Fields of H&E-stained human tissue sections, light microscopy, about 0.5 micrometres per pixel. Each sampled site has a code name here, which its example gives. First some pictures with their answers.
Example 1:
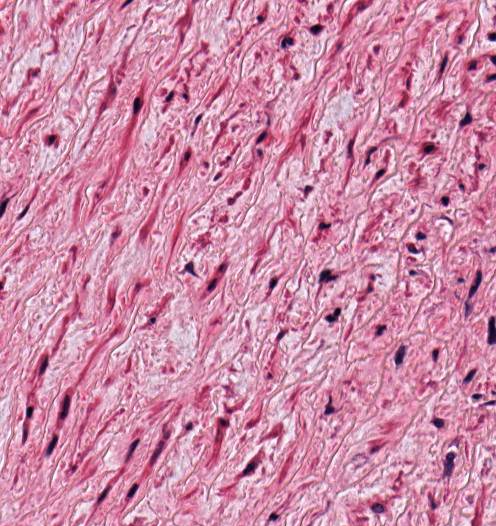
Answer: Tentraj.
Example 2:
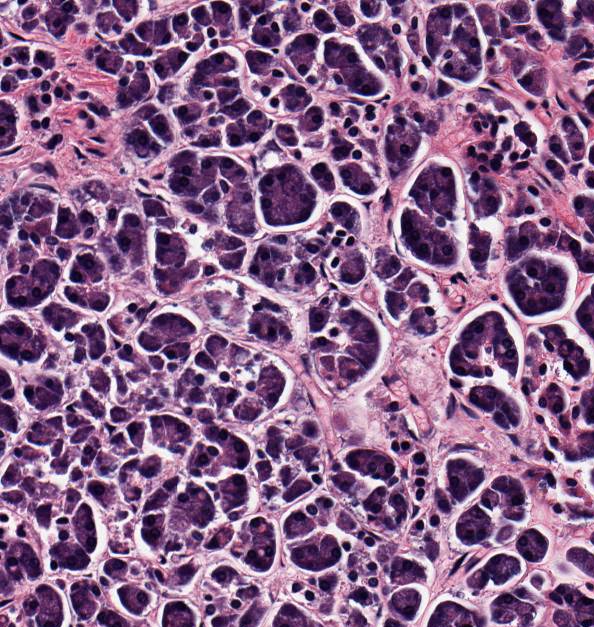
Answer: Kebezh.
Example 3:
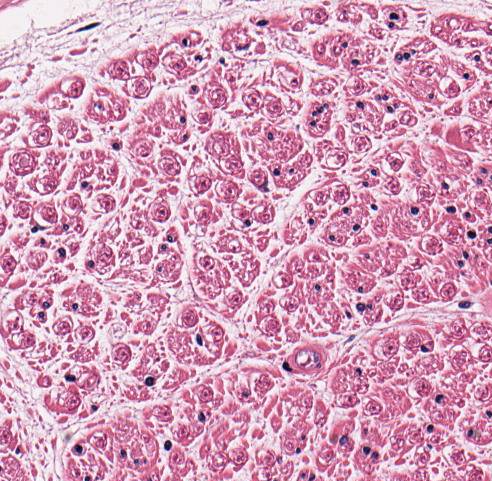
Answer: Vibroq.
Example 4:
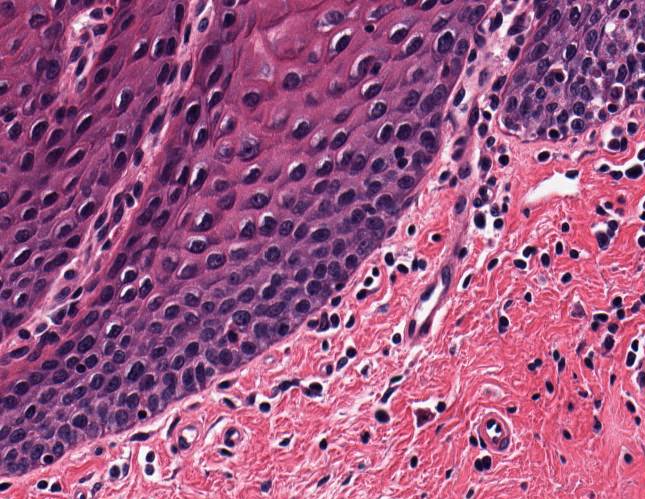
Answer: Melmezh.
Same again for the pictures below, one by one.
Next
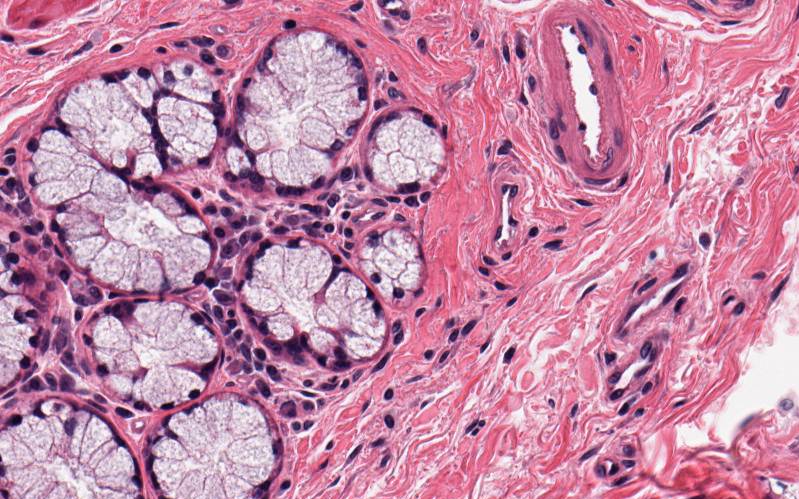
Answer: Melmezh.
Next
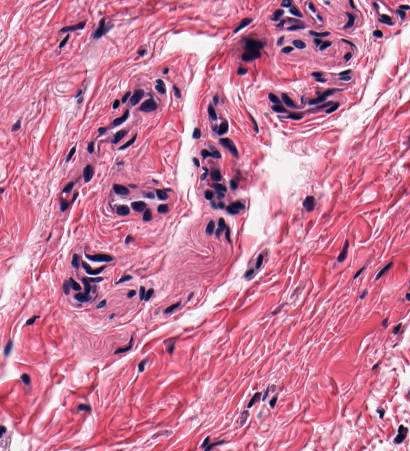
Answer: Melmezh.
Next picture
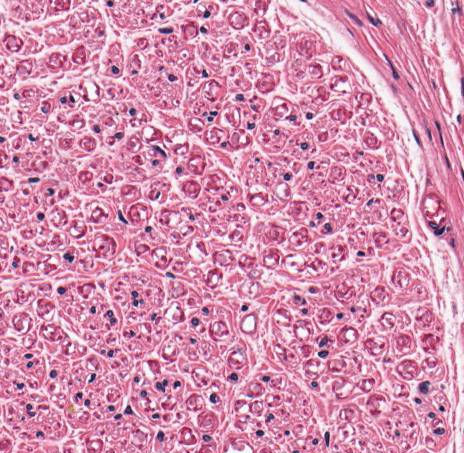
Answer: Vibroq.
